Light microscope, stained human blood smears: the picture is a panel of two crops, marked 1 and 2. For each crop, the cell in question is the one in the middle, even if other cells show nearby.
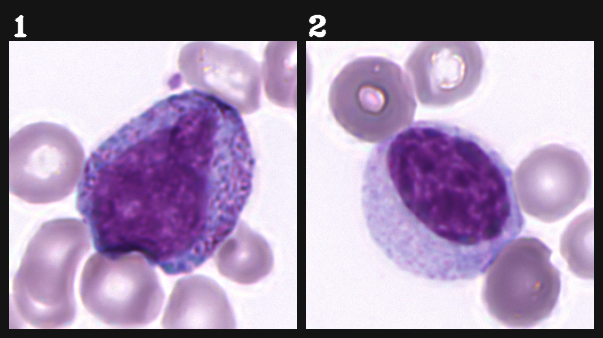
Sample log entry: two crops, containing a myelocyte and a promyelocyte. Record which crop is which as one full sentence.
Crop 1 has a promyelocyte at its centre, and crop 2 has a myelocyte.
